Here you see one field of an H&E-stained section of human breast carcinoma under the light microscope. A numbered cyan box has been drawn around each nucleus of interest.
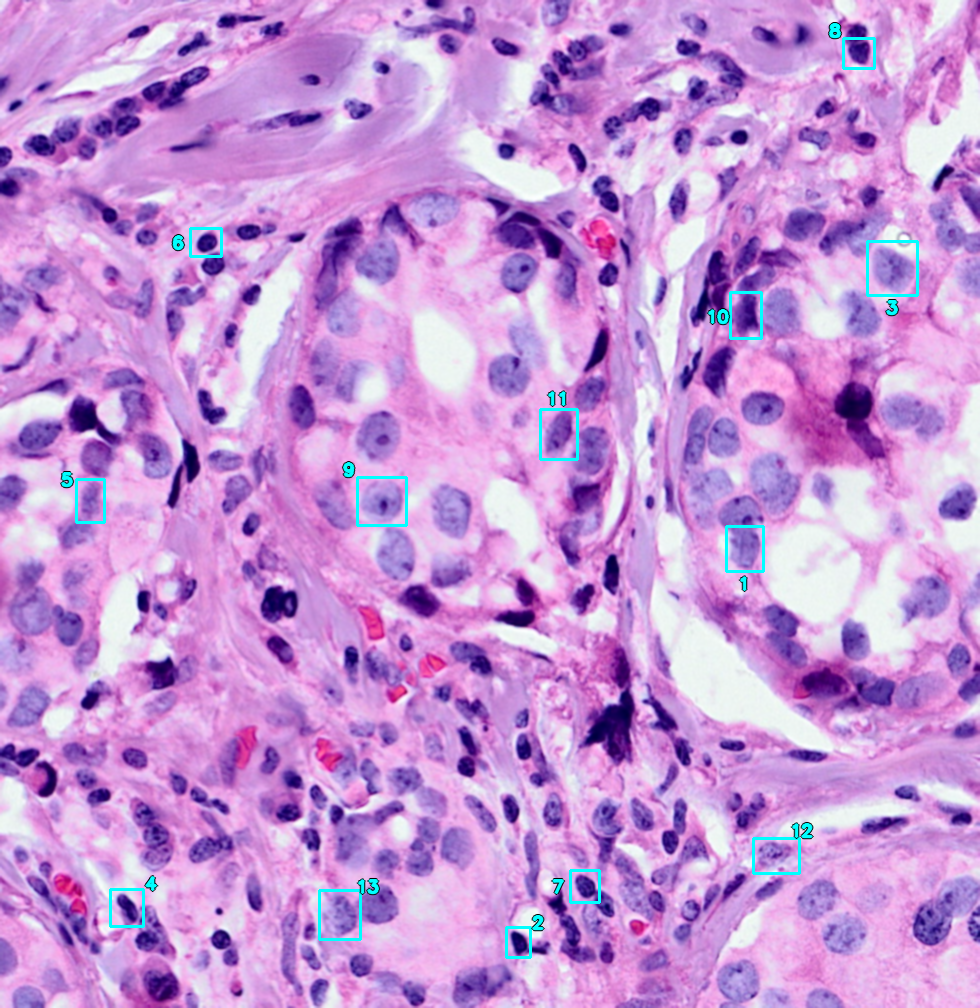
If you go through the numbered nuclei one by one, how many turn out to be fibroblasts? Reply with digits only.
1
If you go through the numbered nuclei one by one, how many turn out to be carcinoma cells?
7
